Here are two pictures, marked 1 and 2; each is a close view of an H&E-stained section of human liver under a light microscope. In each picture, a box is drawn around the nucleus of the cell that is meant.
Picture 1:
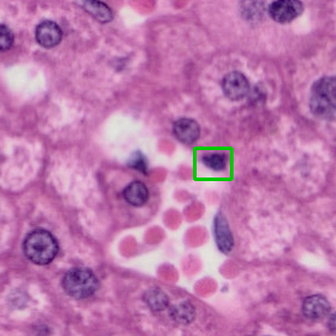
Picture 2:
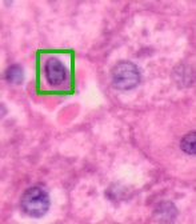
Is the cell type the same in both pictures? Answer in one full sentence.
No, the types are not the same, since picture 1 shows a lymphocyte and picture 2 a Kupffer cell.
